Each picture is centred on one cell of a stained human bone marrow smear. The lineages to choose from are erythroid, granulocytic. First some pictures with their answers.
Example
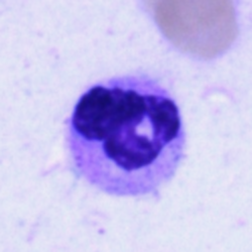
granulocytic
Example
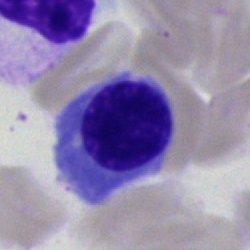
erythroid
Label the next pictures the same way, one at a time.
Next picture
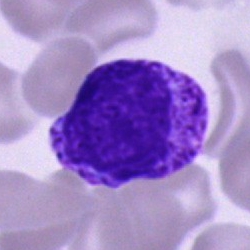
granulocytic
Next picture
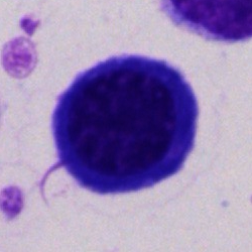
erythroid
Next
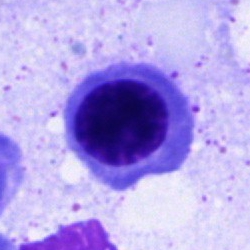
erythroid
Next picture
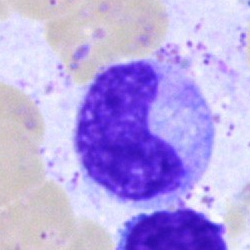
granulocytic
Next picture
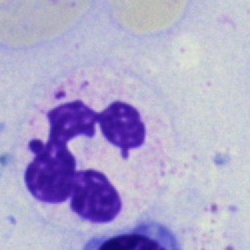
granulocytic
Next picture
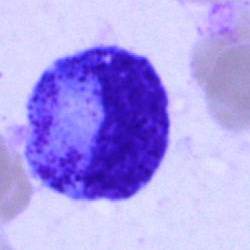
granulocytic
